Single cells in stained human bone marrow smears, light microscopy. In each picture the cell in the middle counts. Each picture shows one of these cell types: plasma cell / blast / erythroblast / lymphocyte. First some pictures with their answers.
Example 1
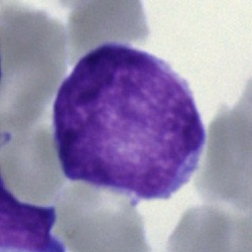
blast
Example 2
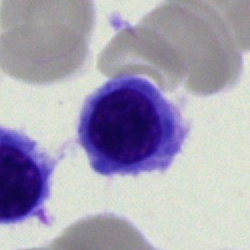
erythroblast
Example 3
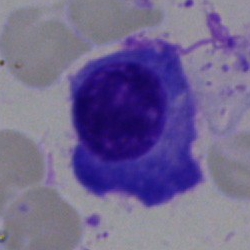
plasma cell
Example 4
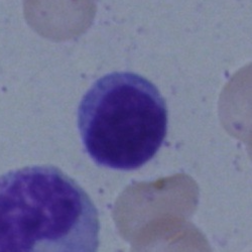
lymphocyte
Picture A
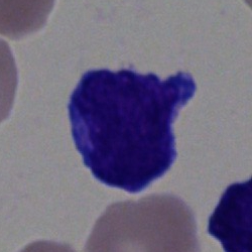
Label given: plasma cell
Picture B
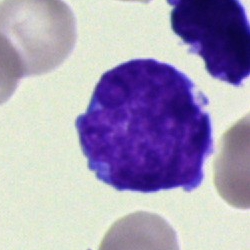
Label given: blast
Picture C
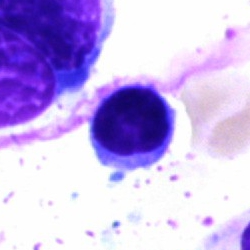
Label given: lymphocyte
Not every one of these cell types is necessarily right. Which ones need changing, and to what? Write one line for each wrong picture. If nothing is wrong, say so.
A is labelled plasma cell; correct label: blast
